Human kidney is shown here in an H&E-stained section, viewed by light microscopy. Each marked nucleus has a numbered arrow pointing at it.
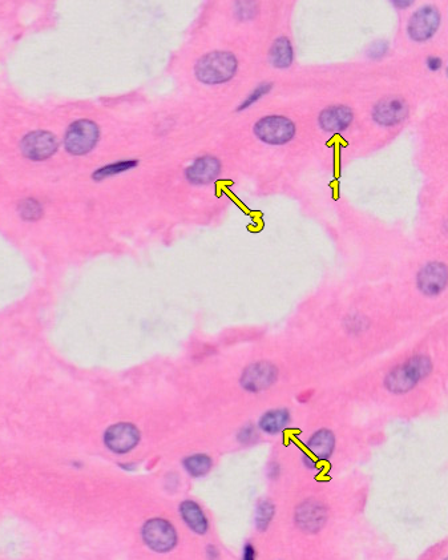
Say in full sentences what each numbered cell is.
Cell 1 is a proximal tubule cell, cell 2 is a collecting duct cell and cell 3 is a proximal tubule cell.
